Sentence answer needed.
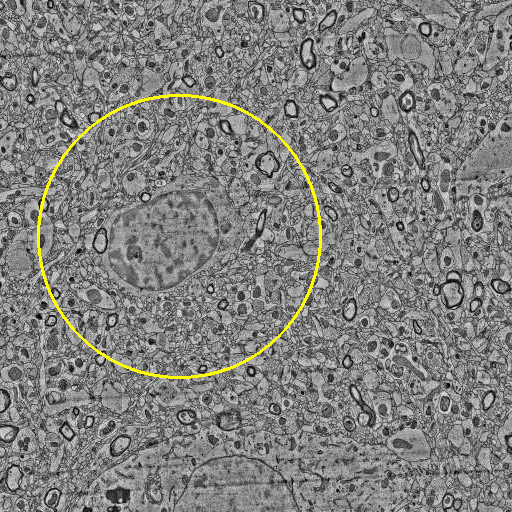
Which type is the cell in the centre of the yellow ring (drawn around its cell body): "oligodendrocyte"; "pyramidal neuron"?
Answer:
In the centre of the yellow ring is an oligodendrocyte.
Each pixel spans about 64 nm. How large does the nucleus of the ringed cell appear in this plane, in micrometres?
In this plane the nucleus is about 7 micrometres by 6.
